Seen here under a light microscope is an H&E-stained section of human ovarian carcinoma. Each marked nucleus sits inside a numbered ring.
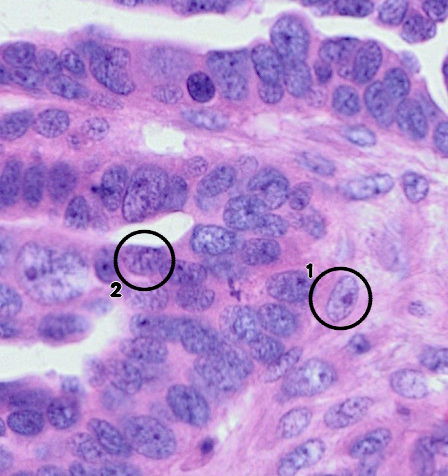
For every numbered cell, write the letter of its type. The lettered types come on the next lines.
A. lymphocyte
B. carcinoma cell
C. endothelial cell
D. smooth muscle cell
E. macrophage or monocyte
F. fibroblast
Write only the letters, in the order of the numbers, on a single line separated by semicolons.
F; B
